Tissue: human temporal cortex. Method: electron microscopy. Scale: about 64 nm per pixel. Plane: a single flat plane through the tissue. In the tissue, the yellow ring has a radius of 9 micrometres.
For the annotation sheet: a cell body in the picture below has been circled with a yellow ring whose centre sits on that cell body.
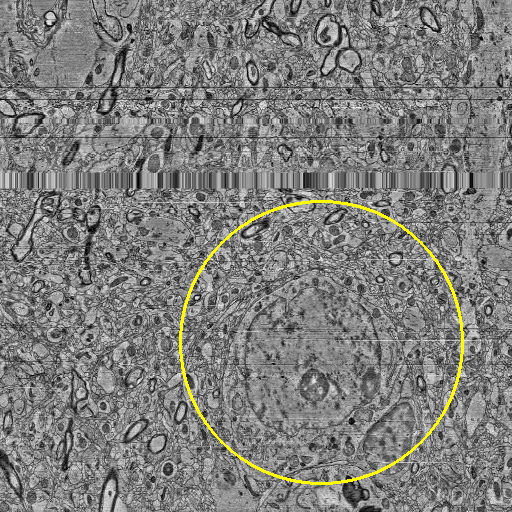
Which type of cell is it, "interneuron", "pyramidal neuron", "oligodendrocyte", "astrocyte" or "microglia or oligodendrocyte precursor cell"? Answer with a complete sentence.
The circled cell is an interneuron.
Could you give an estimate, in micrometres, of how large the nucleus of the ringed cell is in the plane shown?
In this plane the nucleus measures roughly 10 by 9 micrometers.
